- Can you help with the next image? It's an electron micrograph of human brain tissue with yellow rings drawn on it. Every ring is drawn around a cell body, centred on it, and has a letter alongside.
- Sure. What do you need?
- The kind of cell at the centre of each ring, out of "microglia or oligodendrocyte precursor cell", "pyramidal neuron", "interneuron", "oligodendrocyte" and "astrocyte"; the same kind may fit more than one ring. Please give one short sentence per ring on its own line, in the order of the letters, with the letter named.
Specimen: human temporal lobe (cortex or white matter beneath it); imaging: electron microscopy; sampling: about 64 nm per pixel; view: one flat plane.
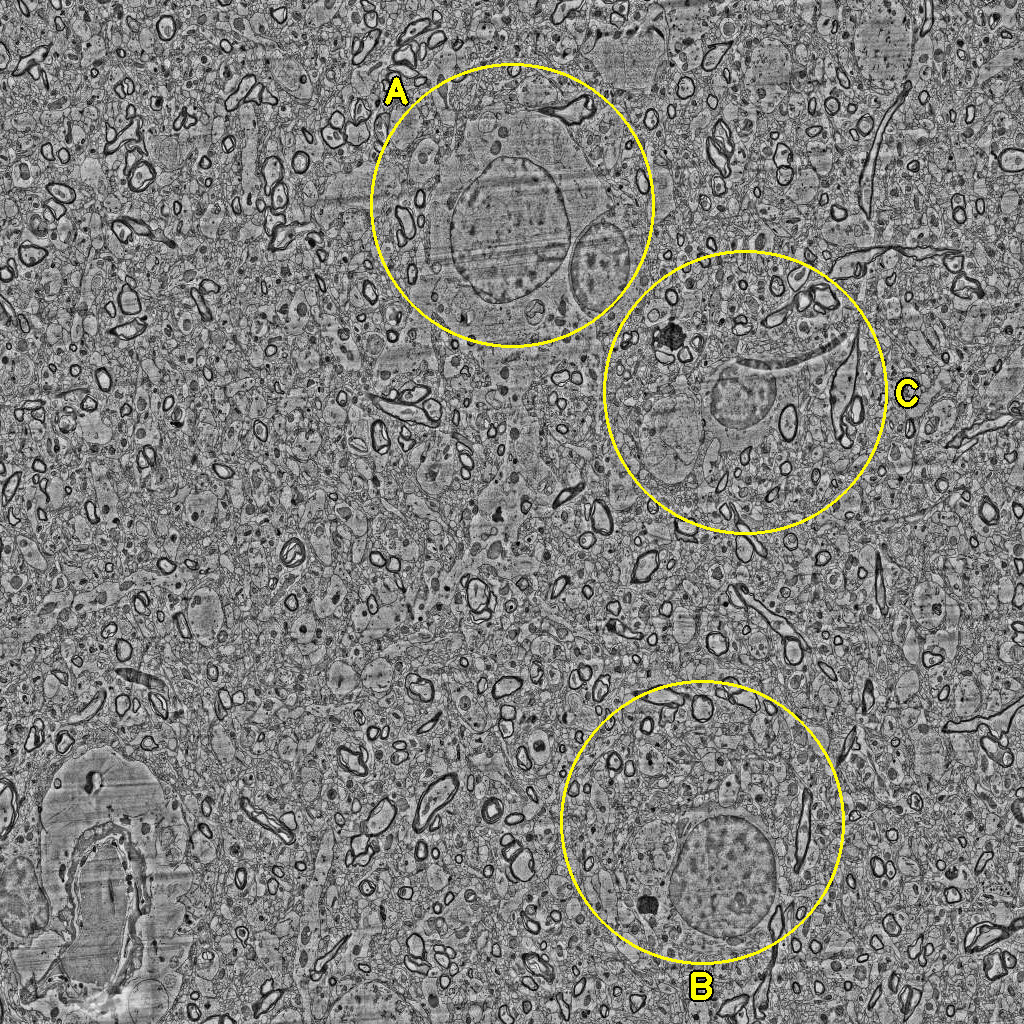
Ring A picks out an astrocyte.
Ring B picks out an oligodendrocyte.
Ring C picks out an oligodendrocyte.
